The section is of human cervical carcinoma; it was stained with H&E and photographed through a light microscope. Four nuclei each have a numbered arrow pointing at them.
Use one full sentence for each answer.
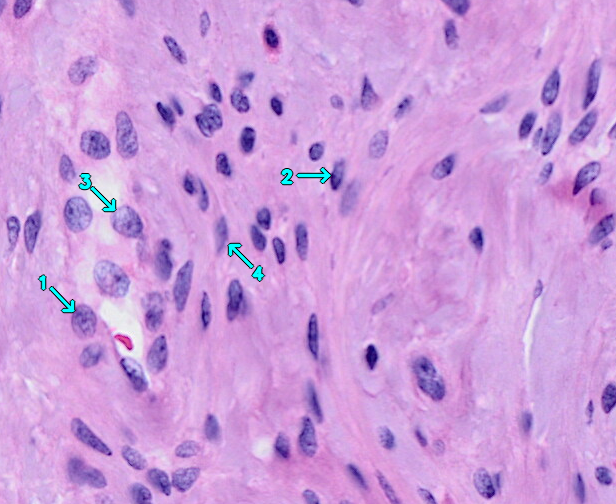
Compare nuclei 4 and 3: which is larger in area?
At about 2 times the area of nucleus 4, nucleus 3 is the larger of the two.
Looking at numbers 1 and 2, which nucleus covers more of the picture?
At about 1.5 times the area of nucleus 2, nucleus 1 is the larger of the two.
